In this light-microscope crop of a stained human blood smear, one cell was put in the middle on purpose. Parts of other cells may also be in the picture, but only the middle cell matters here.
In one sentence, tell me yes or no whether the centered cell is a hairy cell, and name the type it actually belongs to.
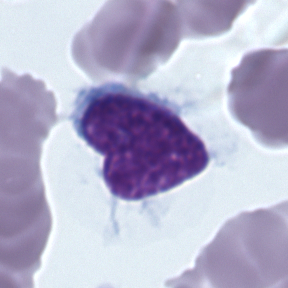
Yes, the middle cell in this crop is a hairy cell.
